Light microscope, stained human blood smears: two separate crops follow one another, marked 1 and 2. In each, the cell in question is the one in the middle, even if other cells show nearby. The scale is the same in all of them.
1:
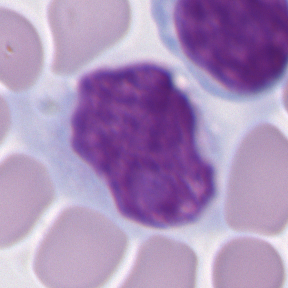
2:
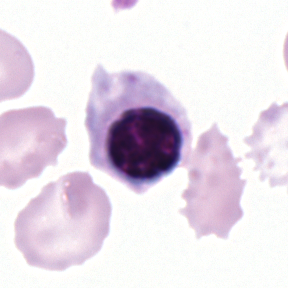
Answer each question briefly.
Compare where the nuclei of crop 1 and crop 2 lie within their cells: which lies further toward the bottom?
2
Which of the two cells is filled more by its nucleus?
1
